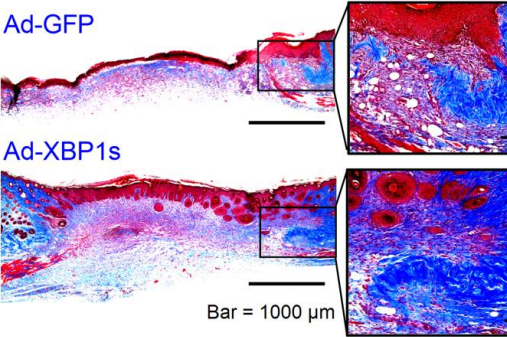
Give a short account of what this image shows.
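In each low-power view a red surface layer runs across the top, over a broad pale to blue region of wound tissue. In the enlarged views the blue collagen forms wavy, interlacing bundles, densest toward the wound edge. In the upper enlarged view clear round spaces lie among pale pink and blue fibers beneath a thick red surface.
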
